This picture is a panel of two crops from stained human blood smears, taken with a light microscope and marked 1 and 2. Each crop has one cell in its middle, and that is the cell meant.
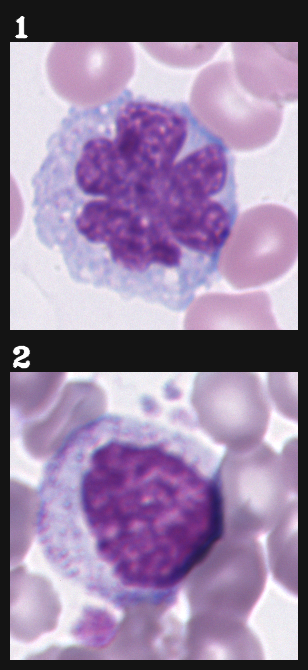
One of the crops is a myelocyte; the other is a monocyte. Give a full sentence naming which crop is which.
Crop 1 has been identified as a monocyte, and crop 2 has been identified as a myelocyte.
